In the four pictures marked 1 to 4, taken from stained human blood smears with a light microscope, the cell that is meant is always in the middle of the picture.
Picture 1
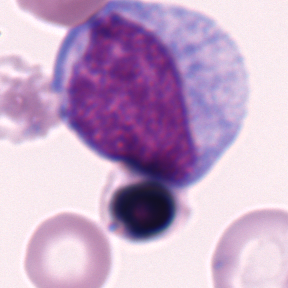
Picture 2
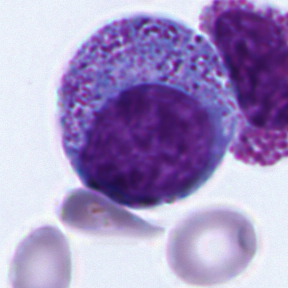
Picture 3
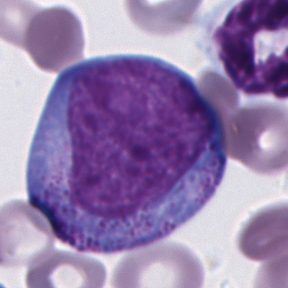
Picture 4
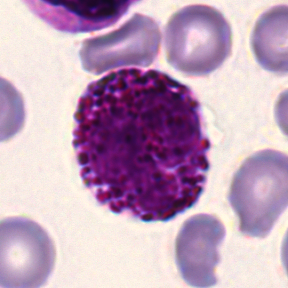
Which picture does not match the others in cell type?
4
